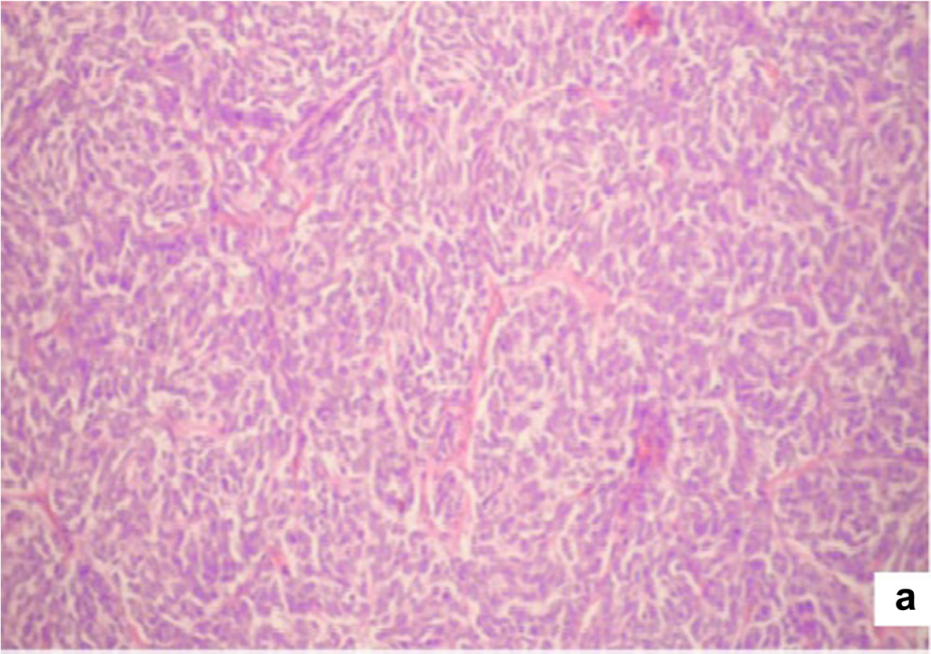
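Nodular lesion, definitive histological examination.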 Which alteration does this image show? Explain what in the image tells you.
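Densely packed tumour cells are grouped into nests and lobules. Thin pink fibrovascular septa separate the cell groups.
Conclusion: organoid pattern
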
